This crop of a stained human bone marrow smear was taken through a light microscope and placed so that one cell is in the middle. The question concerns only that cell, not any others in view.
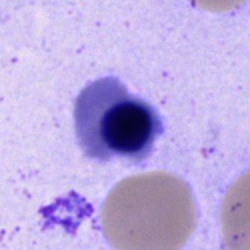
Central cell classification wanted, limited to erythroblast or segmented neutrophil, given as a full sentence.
In this smear crop, the middle cell is an erythroblast.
